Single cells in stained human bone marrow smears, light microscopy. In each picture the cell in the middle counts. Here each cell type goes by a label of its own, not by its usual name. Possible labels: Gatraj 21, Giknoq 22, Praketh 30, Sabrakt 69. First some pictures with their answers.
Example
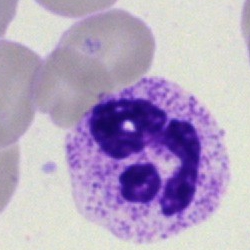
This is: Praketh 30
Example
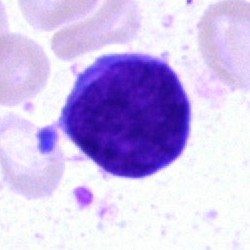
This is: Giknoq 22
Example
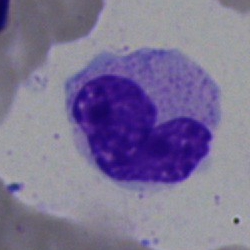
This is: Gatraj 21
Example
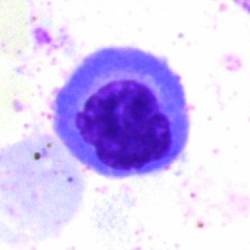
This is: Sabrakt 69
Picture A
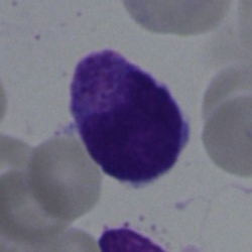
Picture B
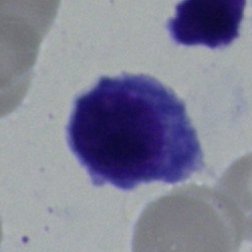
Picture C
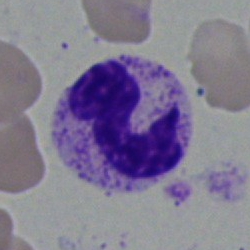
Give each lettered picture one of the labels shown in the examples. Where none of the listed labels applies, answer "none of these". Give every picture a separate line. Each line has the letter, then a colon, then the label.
A: Giknoq 22
B: none of these
C: Gatraj 21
